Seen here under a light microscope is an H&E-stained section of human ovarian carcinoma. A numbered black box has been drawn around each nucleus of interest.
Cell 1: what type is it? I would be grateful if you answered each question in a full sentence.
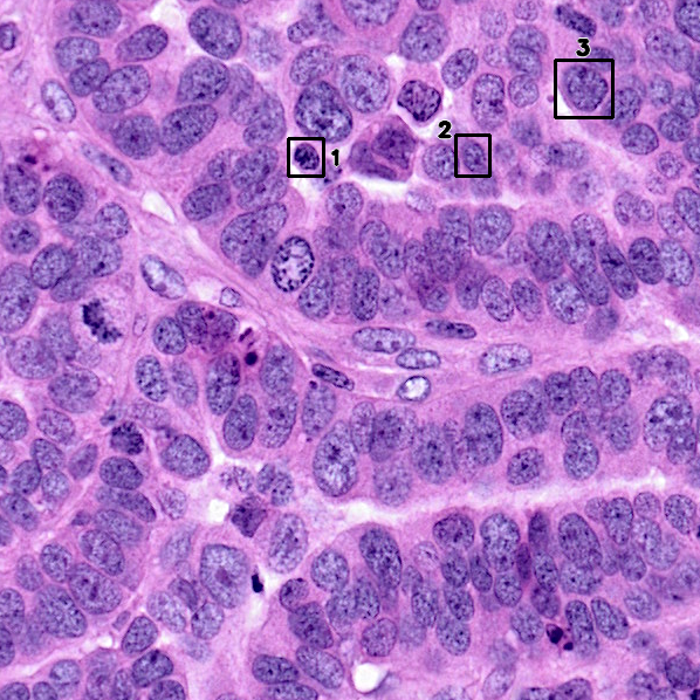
The cell numbered 1 has been identified as a lymphocyte.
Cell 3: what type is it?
Cell 3 should be recorded as a carcinoma cell.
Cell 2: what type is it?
Nucleus 2 in this section belongs to a carcinoma cell.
